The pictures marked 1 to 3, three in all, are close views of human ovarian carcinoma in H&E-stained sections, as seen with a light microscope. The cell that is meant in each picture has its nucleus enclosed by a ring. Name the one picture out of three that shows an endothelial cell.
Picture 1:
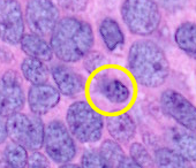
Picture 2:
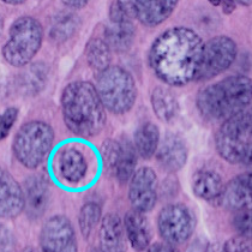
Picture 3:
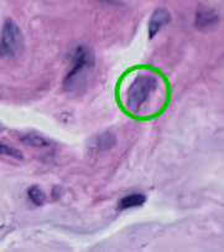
3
